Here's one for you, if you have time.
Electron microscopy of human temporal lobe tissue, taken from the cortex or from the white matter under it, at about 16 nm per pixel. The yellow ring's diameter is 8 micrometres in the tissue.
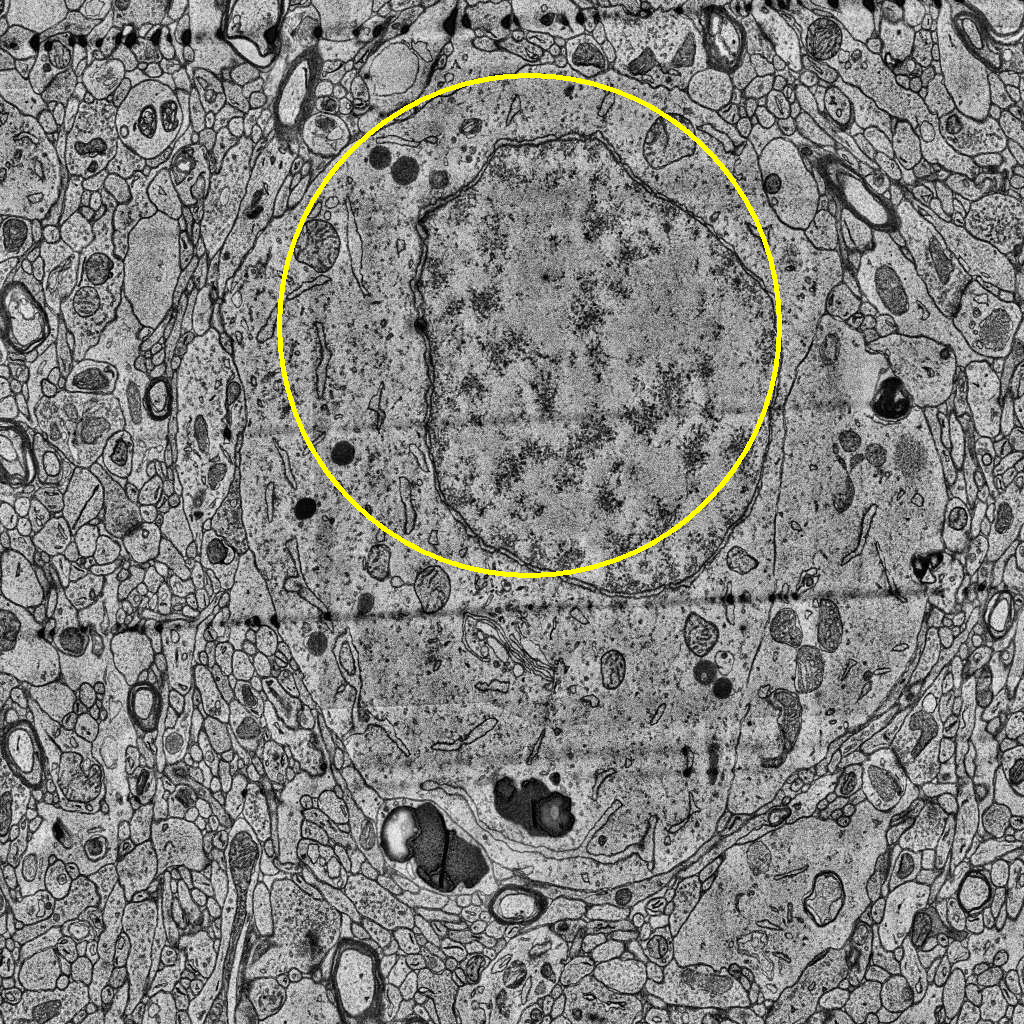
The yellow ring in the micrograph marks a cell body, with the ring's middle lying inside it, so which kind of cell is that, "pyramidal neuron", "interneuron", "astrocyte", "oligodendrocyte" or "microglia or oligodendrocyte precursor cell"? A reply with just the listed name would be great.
pyramidal neuron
